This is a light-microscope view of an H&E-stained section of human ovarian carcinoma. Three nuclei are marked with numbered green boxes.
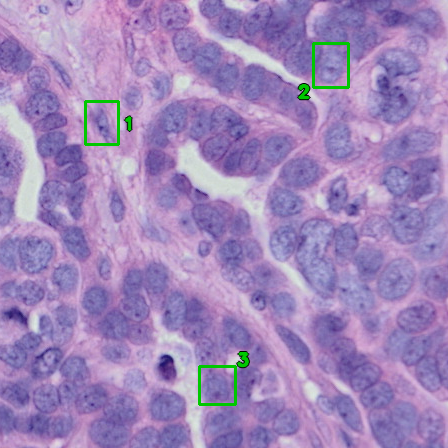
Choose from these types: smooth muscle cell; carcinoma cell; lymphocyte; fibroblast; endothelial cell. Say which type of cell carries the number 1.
fibroblast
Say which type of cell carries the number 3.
carcinoma cell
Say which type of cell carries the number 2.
carcinoma cell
